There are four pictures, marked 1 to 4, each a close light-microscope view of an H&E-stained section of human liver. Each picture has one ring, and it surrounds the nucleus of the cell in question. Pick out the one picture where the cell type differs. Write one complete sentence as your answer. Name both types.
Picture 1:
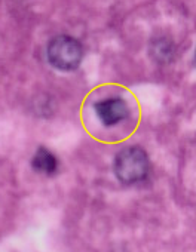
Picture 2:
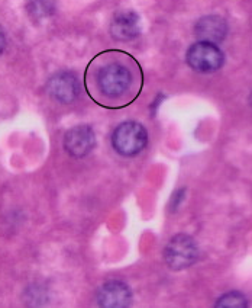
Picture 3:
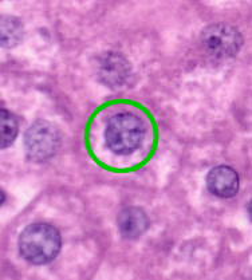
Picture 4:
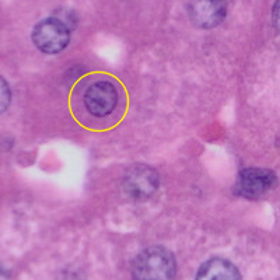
Picture 1 differs, because its cell is an endothelial cell and the rest are hepatocytes.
